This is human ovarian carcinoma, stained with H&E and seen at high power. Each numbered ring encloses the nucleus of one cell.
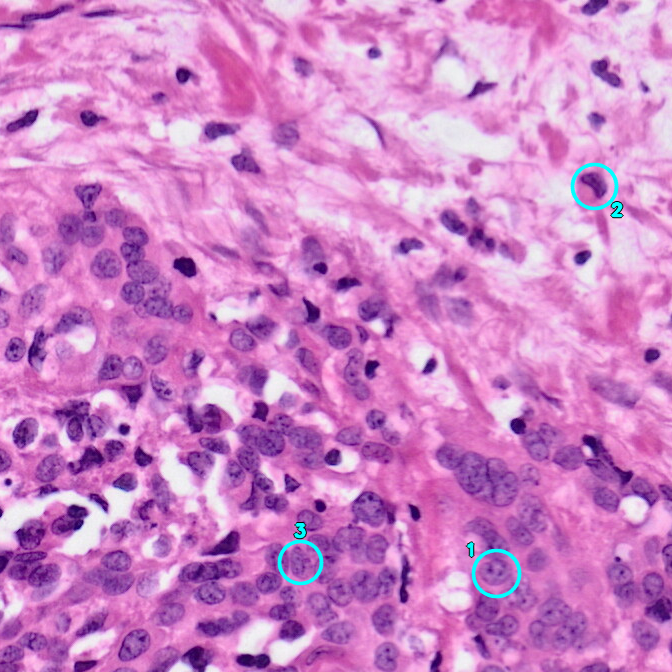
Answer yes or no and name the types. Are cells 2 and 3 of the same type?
No, cell 2 is a macrophage or monocyte and cell 3 is a carcinoma cell.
